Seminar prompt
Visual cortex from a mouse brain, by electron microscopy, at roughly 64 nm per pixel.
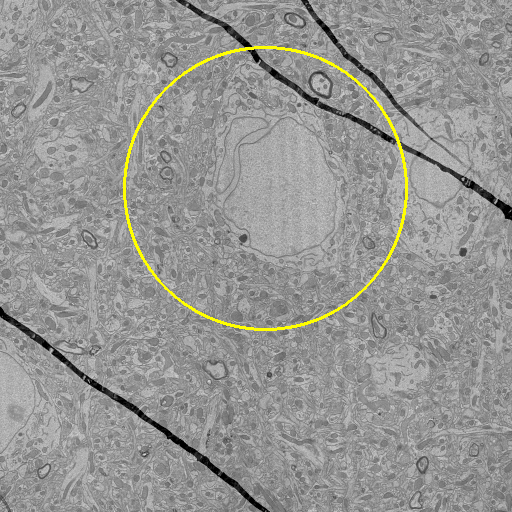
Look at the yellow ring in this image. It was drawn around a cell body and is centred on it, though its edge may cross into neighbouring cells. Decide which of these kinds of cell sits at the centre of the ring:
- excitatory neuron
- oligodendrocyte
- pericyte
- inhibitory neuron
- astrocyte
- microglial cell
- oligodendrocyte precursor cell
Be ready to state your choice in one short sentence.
The kind of cell at the ring's centre is an inhibitory neuron.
